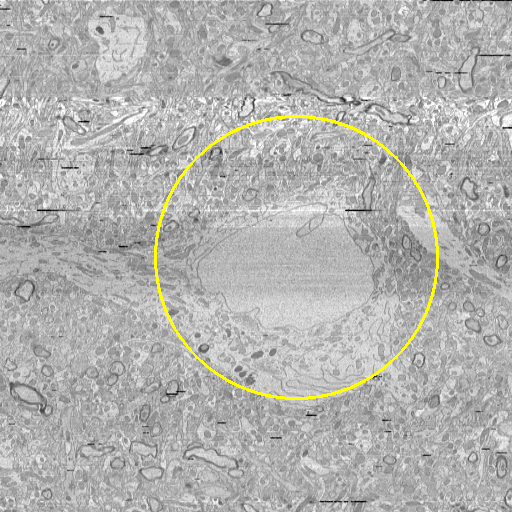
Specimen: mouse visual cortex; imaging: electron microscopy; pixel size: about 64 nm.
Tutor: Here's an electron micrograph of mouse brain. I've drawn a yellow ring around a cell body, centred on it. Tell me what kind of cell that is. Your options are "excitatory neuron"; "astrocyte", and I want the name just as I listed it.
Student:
excitatory neuron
